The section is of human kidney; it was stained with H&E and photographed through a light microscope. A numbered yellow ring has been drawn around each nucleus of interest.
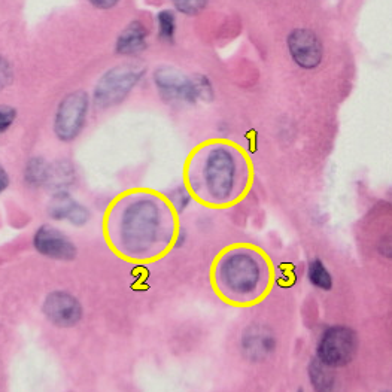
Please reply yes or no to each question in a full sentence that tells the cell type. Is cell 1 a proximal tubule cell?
No, the right label for cell 1 is a collecting duct cell rather than a proximal tubule cell.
